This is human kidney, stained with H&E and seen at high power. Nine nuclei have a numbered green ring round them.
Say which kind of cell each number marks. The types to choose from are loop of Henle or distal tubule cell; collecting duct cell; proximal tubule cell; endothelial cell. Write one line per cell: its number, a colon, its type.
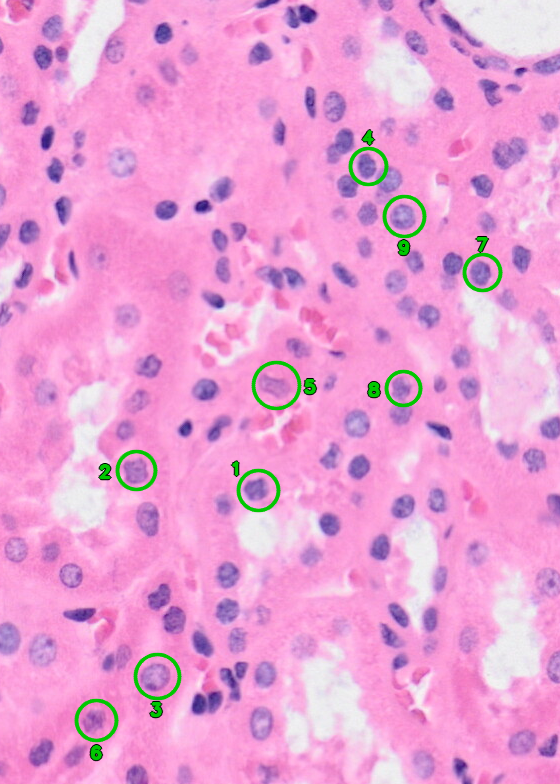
1: loop of Henle or distal tubule cell
2: proximal tubule cell
3: proximal tubule cell
4: loop of Henle or distal tubule cell
5: proximal tubule cell
6: proximal tubule cell
7: loop of Henle or distal tubule cell
8: loop of Henle or distal tubule cell
9: loop of Henle or distal tubule cell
